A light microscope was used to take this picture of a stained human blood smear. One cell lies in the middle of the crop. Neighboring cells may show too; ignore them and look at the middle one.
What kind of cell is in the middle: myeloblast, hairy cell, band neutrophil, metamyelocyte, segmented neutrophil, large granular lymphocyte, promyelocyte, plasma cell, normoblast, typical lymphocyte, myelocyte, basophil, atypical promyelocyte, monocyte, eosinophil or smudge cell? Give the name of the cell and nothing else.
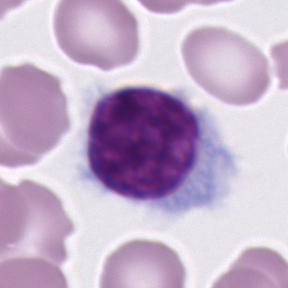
hairy cell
